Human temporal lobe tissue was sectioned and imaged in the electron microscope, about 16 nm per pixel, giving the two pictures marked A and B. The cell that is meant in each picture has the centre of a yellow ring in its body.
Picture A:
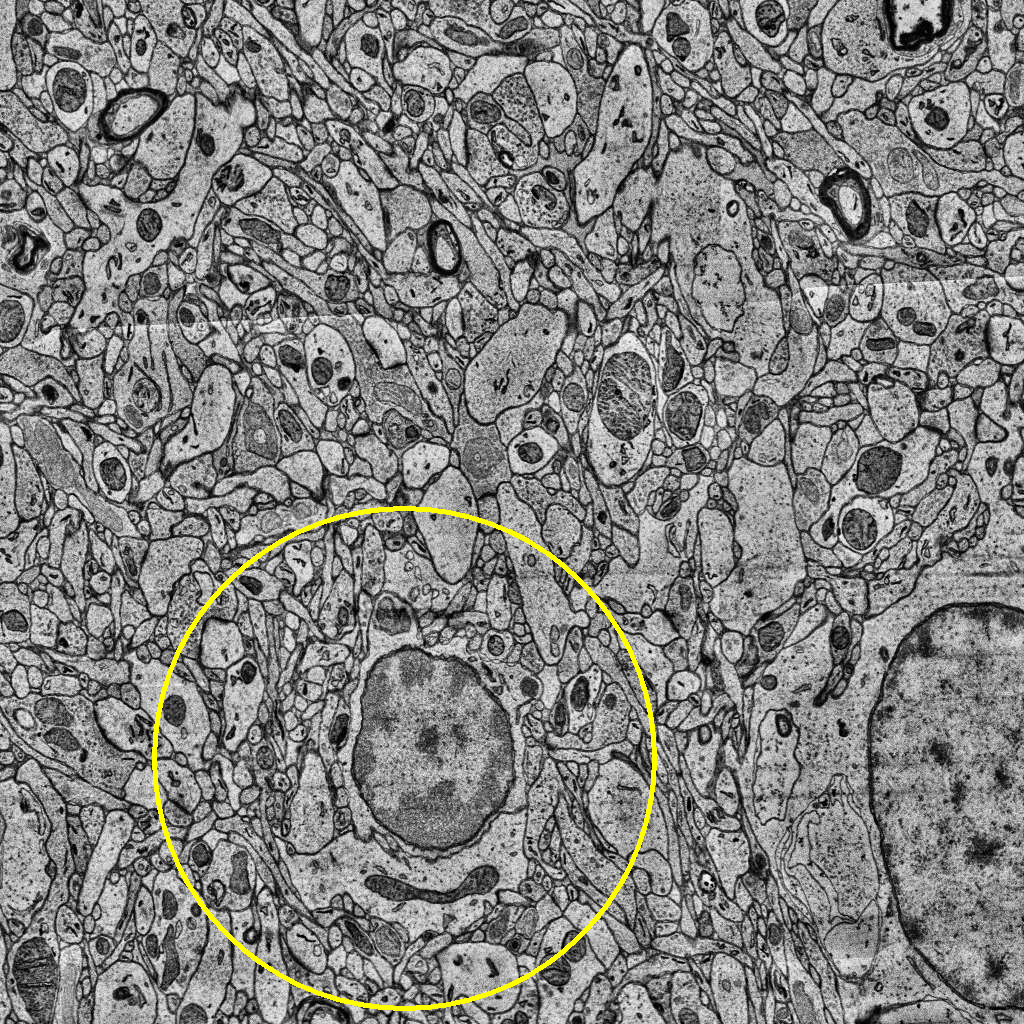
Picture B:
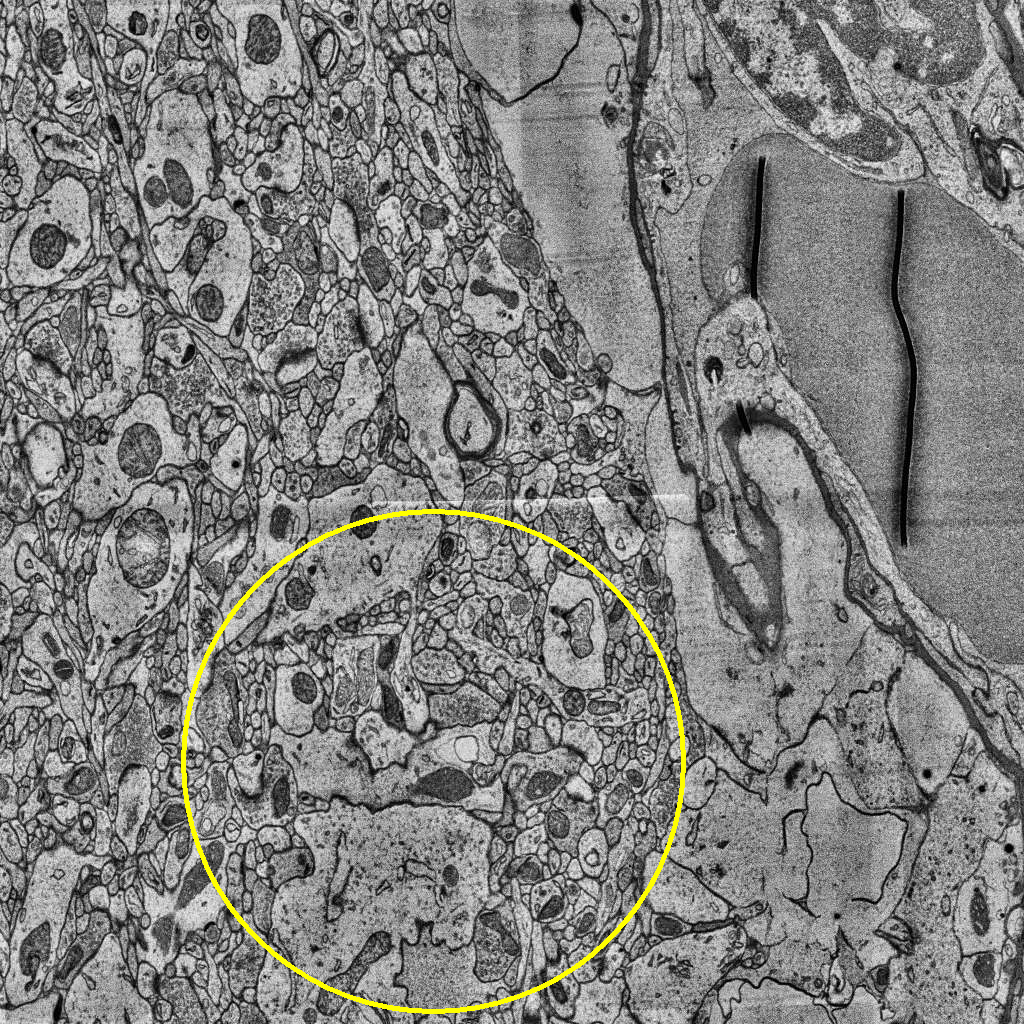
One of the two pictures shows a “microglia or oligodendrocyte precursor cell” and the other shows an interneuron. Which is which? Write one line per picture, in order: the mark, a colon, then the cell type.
A: microglia or oligodendrocyte precursor cell
B: interneuron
